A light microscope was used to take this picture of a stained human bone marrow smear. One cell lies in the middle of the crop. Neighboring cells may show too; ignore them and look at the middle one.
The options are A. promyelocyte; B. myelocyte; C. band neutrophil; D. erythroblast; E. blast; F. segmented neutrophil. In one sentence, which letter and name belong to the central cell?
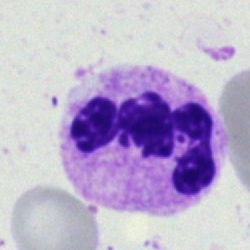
The cell in the center of this crop is a segmented neutrophil, so option F is the one to pick.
